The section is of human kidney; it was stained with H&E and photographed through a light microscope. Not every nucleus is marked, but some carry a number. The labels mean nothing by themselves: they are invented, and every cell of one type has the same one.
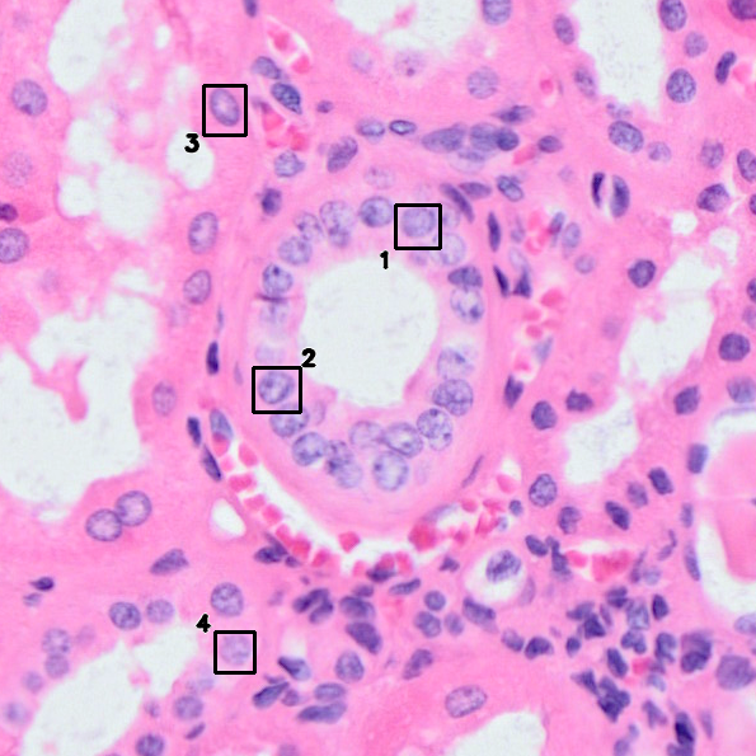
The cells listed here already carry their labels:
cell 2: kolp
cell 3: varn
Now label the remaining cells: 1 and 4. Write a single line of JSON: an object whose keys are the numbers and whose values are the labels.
{"1": "kolp", "4": "kolp"}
